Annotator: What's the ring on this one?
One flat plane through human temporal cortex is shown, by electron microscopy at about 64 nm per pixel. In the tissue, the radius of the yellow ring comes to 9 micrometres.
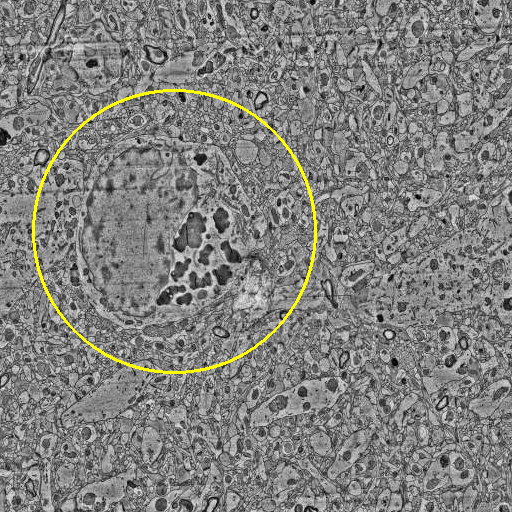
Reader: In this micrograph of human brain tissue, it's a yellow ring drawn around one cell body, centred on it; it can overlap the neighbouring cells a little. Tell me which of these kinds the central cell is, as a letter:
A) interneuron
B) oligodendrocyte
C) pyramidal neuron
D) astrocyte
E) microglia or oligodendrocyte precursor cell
A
